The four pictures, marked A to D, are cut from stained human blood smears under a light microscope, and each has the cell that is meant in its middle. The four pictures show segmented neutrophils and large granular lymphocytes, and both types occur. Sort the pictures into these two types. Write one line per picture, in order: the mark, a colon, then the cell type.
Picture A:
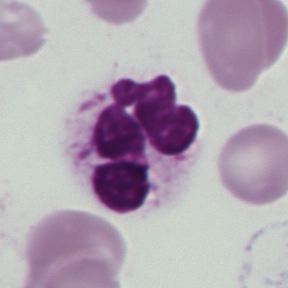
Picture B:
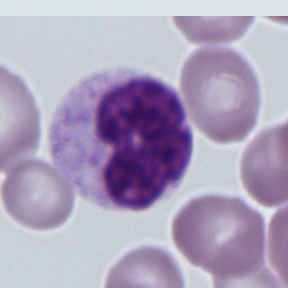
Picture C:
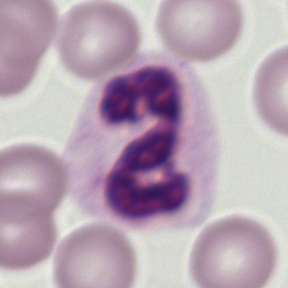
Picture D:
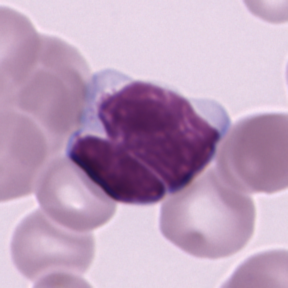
A: segmented neutrophil
B: segmented neutrophil
C: segmented neutrophil
D: large granular lymphocyte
